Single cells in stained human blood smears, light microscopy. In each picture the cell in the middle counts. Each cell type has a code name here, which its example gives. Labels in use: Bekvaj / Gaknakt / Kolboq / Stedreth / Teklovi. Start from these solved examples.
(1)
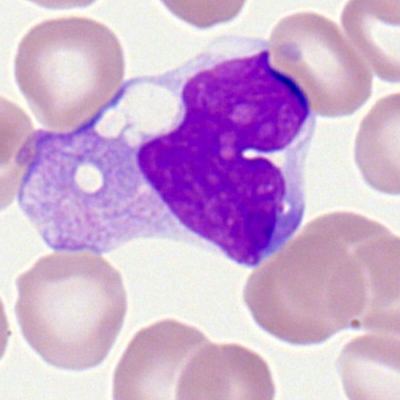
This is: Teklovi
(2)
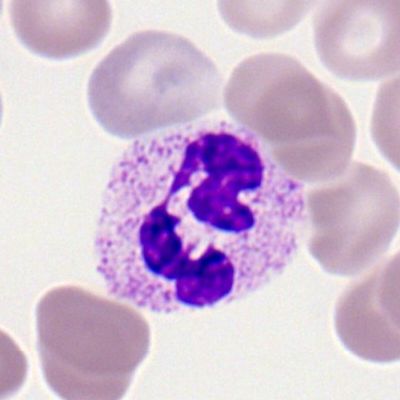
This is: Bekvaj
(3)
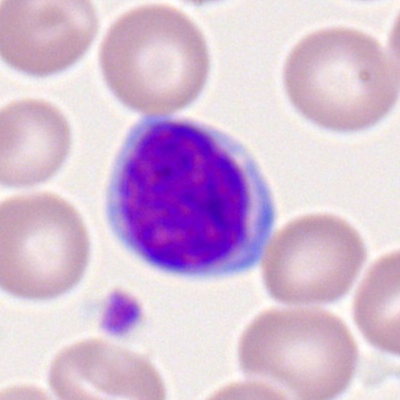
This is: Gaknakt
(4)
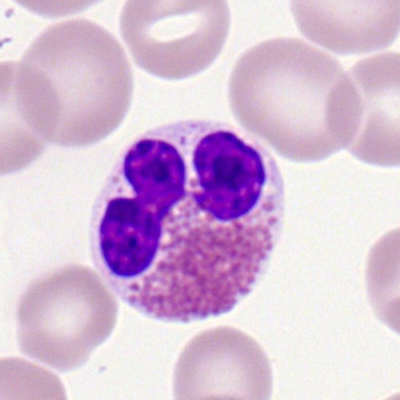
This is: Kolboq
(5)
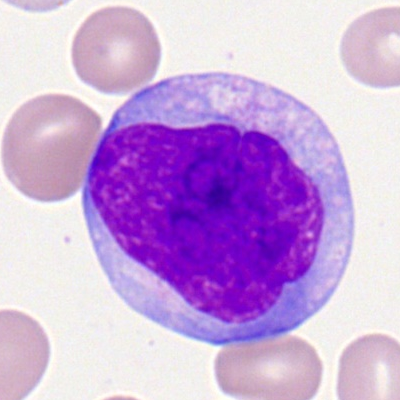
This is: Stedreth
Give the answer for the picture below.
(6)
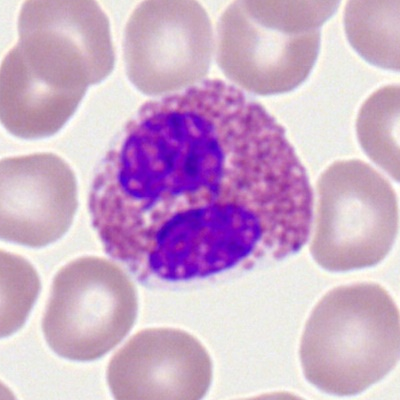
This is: Kolboq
